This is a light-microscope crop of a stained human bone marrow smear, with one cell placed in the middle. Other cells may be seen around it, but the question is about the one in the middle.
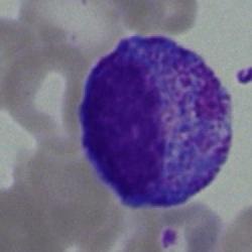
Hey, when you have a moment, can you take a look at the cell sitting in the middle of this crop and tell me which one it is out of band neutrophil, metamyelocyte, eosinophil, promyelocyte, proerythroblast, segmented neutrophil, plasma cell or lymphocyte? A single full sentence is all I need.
The center cell of this crop is a promyelocyte.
